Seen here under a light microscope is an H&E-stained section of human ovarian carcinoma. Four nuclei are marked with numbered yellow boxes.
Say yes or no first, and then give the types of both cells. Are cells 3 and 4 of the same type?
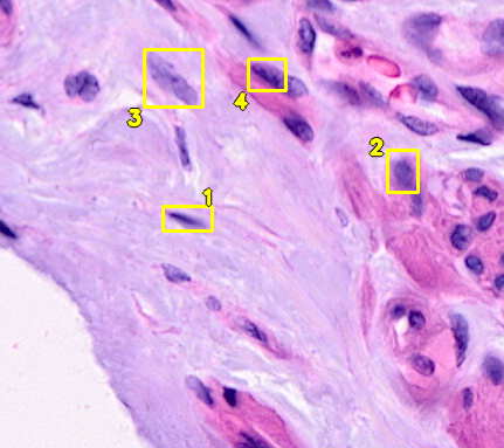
No, the proper labels are a fibroblast for cell 3 and a smooth muscle cell for cell 4.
